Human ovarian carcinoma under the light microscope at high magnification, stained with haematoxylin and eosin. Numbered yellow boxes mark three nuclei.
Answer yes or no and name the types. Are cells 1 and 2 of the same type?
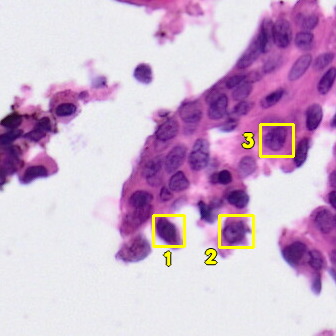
No, whereas cell 2 is a macrophage or monocyte, cell 1 is a carcinoma cell.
